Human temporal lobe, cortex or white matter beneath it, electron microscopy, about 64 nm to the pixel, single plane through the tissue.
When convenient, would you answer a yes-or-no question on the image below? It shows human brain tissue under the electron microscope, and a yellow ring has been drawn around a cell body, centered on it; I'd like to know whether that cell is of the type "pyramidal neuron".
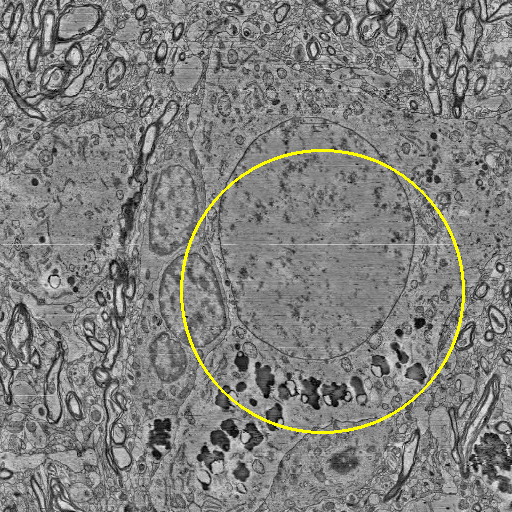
yes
